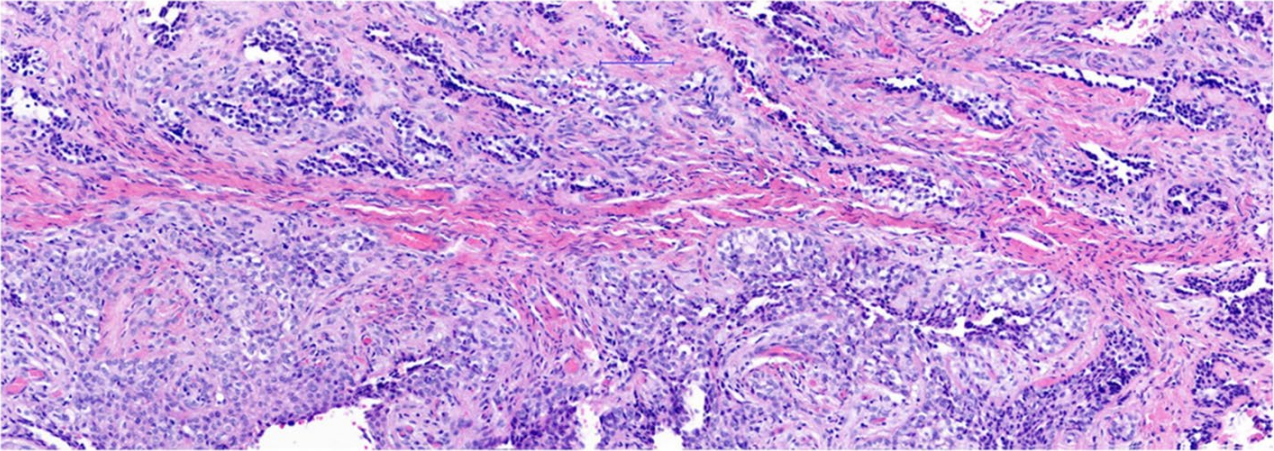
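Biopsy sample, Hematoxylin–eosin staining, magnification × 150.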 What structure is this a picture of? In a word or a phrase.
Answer: Sheets and trabeculae.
